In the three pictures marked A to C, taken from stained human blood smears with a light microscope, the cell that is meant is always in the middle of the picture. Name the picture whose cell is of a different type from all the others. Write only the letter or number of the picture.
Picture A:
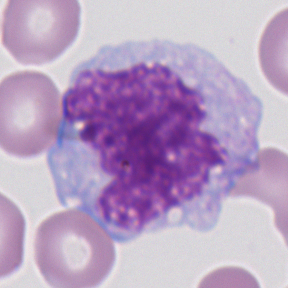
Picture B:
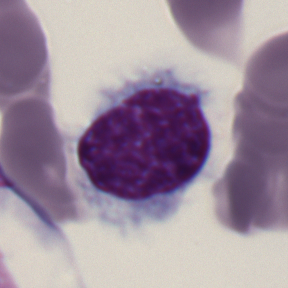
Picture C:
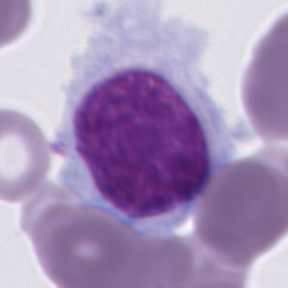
A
